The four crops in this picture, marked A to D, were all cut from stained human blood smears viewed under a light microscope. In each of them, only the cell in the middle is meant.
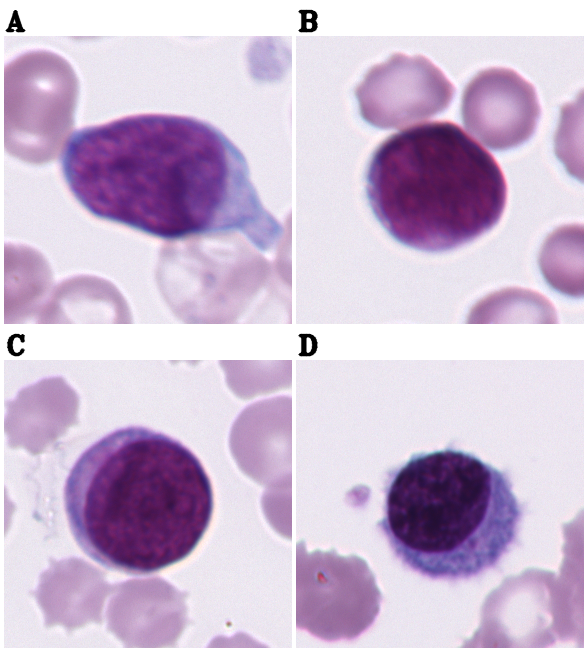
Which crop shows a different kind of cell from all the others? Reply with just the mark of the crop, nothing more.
D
